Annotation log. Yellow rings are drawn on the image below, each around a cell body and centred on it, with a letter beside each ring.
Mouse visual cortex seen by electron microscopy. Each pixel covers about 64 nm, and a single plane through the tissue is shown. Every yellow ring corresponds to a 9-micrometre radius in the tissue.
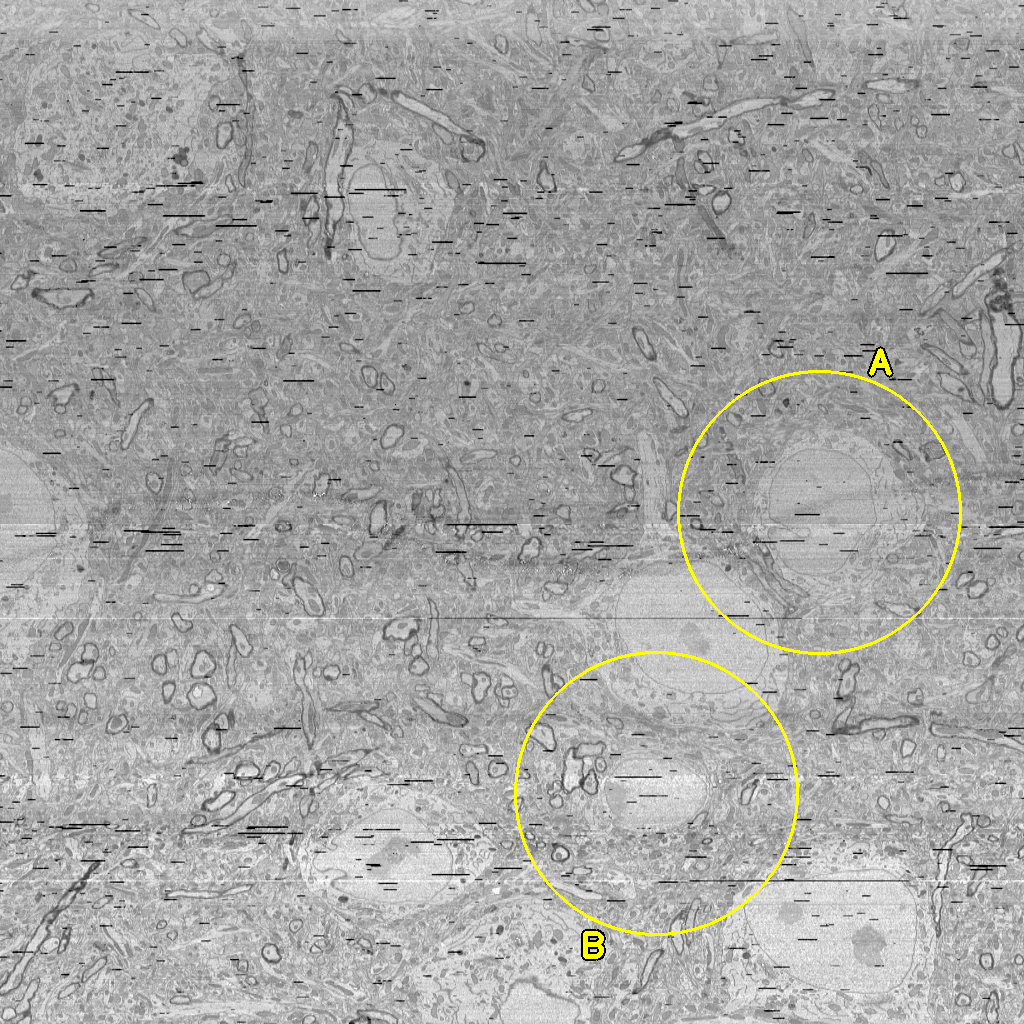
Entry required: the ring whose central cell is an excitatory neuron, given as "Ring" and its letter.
Ring A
